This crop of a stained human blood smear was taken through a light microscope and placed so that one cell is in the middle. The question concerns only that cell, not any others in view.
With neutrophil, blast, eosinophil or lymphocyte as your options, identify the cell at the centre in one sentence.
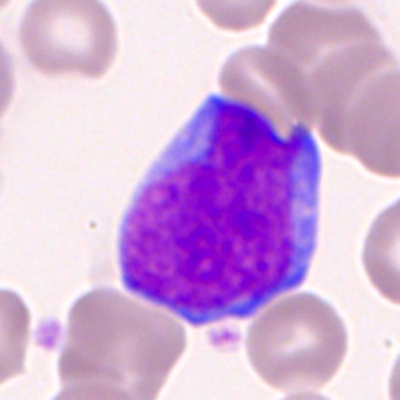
What sits at the centre of this crop is a blast.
